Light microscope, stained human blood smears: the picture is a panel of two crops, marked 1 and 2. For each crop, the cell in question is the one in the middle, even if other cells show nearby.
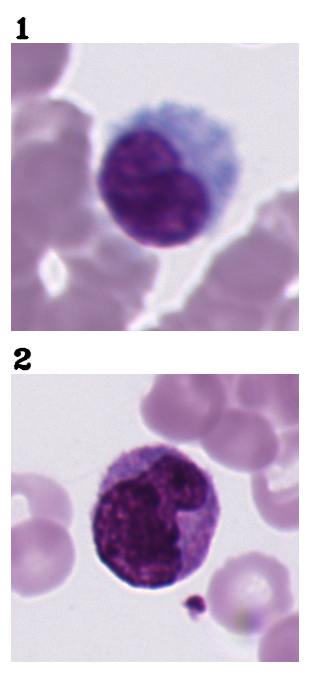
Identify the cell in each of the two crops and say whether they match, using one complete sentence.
No, as for crop 1, it shows a hairy cell, and crop 2 shows a monocyte.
